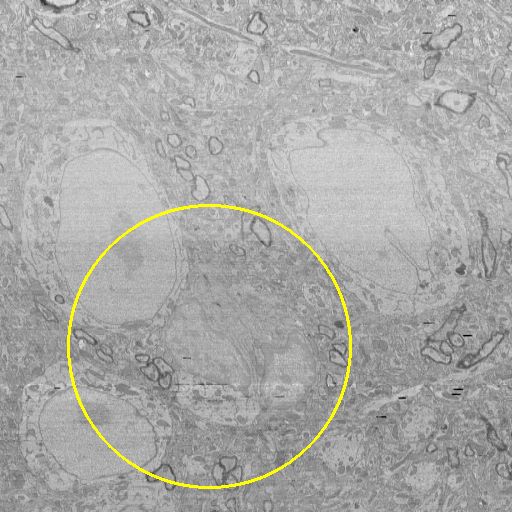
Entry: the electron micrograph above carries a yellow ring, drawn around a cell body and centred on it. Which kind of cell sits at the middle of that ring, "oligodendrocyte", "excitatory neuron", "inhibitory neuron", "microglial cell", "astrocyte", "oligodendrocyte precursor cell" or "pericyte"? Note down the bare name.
microglial cell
